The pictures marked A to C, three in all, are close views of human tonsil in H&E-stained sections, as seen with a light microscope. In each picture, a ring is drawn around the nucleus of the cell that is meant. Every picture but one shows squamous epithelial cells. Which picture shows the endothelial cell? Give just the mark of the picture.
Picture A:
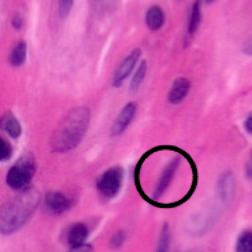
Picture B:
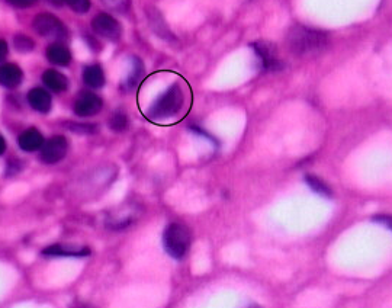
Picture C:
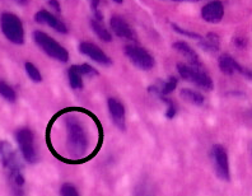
A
